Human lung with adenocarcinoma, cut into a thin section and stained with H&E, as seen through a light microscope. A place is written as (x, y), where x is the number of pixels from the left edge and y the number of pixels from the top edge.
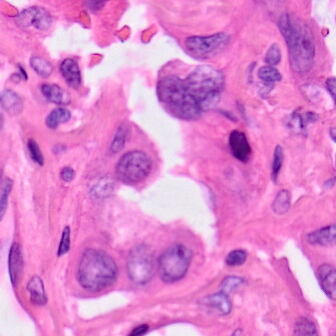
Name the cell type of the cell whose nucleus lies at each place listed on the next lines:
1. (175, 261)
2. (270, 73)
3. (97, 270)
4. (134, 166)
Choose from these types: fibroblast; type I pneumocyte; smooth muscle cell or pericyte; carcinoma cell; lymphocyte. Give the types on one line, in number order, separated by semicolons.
carcinoma cell; lymphocyte; carcinoma cell; carcinoma cell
